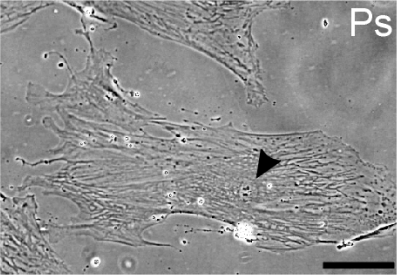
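One very large, flat cell fills the middle of the field, its cytoplasm spread wide as a thin sheet. Many fine parallel fibres run lengthwise across the spread cytoplasm. An arrowhead points to a small oval region in its centre, the nucleus, which is small compared with the huge cell body. Other flattened cells lie at the edges of the field.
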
